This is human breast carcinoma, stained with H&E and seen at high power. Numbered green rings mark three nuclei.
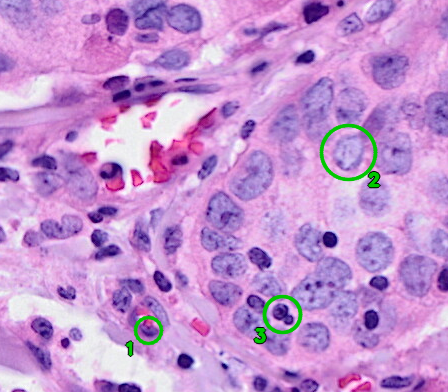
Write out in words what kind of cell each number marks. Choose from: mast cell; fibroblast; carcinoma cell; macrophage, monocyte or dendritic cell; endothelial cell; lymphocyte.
Cell 1 is an endothelial cell, cell 2 is a carcinoma cell and cell 3 is a lymphocyte.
